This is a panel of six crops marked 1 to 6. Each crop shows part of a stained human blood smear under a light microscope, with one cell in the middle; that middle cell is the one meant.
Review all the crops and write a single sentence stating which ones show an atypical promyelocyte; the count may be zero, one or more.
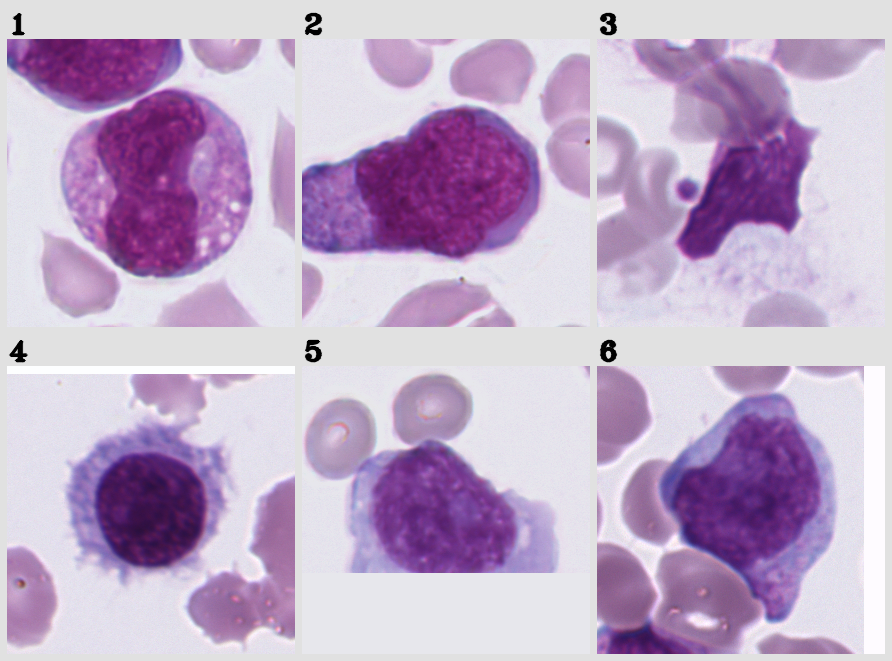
Classified as atypical promyelocytes are the central cells of crops 1, 2 and 6.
